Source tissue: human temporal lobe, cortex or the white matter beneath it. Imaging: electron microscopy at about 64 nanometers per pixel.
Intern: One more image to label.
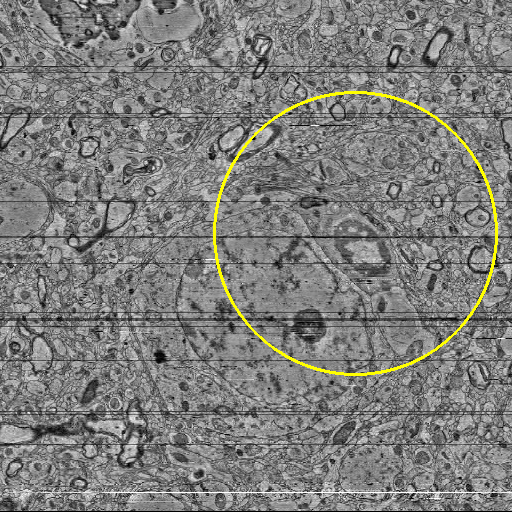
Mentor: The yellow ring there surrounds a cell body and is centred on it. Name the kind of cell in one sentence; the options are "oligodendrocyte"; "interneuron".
The ring marks the cell body of an oligodendrocyte.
